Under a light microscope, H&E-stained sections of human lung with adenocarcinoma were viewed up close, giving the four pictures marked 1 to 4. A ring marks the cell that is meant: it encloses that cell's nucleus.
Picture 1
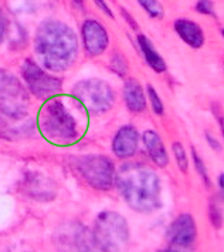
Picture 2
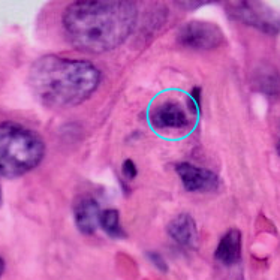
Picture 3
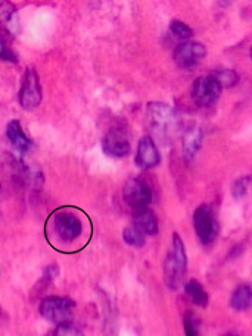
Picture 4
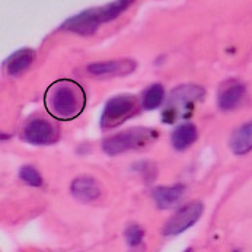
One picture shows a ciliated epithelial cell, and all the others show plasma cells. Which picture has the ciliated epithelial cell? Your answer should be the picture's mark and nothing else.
1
